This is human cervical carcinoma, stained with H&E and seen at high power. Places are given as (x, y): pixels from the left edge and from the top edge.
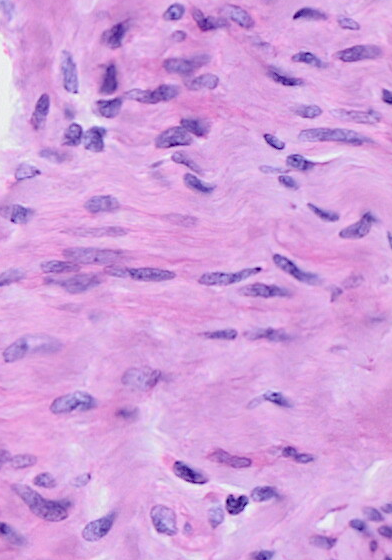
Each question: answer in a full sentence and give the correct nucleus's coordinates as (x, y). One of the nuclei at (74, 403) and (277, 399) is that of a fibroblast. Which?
The nucleus that sits at (277, 399) is the nucleus of a fibroblast.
